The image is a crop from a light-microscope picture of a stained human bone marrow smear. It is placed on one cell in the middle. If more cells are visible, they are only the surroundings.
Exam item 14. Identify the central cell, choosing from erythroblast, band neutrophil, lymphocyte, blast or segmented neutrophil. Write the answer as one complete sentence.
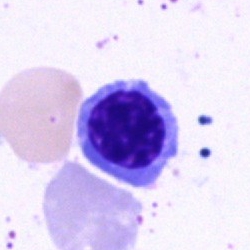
The cell at the middle of the crop is recognized as an erythroblast.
